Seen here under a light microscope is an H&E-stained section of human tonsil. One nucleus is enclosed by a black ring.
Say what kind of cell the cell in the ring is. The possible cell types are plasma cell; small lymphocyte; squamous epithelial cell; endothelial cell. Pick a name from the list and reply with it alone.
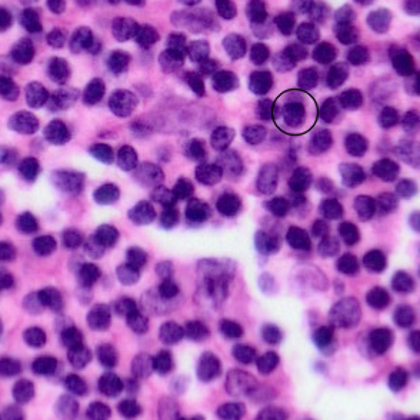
small lymphocyte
